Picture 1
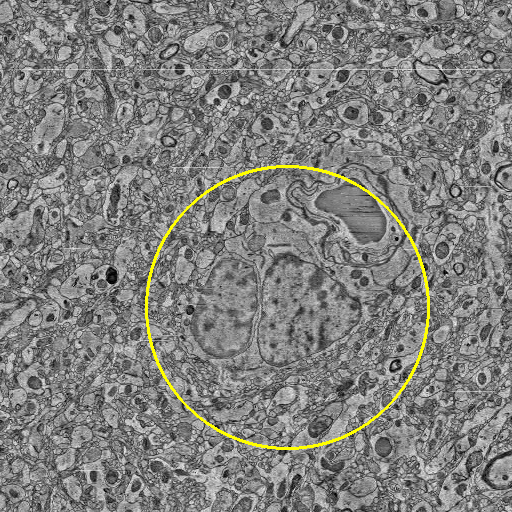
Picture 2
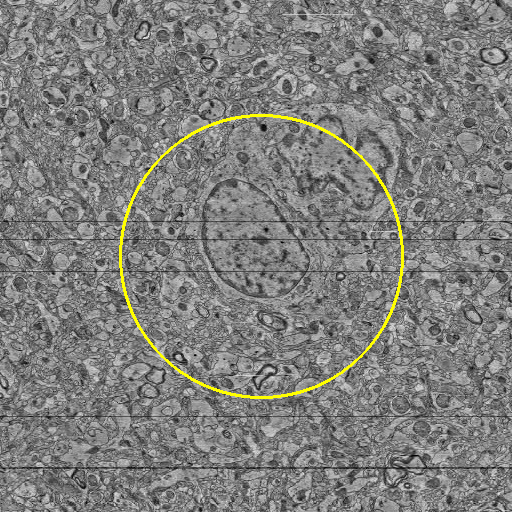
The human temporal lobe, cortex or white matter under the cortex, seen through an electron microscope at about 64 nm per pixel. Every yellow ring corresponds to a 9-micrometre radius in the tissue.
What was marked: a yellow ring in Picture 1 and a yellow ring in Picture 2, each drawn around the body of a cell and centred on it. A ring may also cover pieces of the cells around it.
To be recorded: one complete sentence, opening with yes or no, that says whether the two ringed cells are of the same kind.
Yes, the two ringed cells are of the same kind.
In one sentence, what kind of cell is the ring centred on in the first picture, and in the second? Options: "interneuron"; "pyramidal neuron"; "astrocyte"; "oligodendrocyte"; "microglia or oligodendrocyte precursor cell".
Each of the two pictures has a microglial cell or oligodendrocyte precursor cell at the ring centre.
